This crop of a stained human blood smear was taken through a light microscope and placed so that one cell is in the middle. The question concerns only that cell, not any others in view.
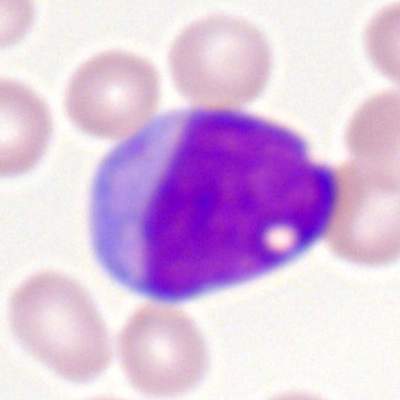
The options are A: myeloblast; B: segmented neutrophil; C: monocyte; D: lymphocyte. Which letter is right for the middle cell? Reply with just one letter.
A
